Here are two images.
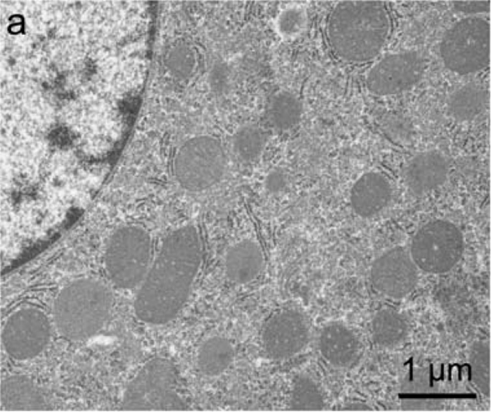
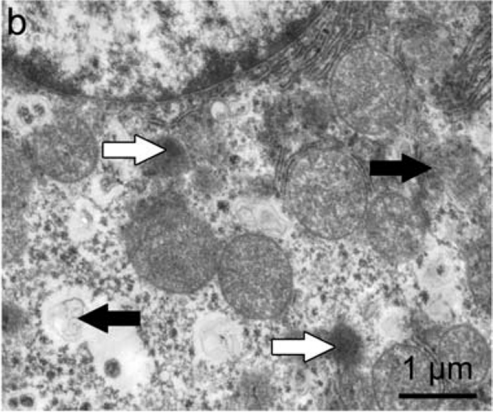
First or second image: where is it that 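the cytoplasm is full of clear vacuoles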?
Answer: The second image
